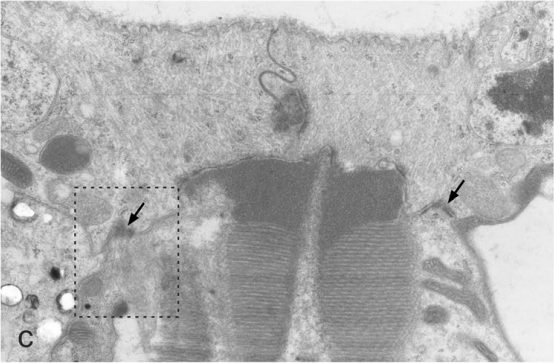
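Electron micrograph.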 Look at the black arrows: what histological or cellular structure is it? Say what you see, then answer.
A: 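Adhesion sites. The arrows point to small electron-dense patches on apposed membranes. The patches lie at the edges of the cell tips beside the dense caps.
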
